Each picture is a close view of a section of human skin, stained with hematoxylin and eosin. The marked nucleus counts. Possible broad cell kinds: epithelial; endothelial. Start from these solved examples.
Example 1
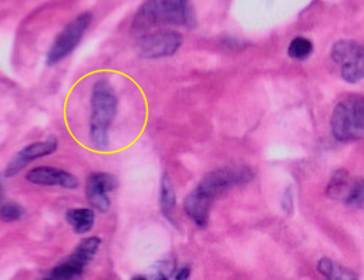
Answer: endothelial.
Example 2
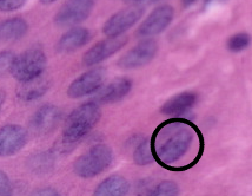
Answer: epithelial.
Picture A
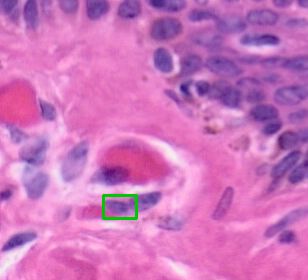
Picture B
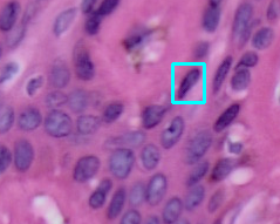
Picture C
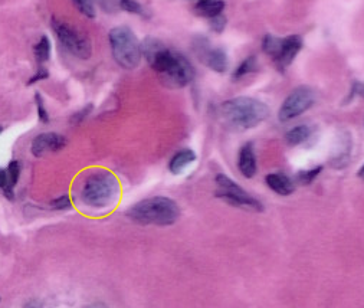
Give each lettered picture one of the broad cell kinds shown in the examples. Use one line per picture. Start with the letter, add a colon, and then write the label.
A: endothelial.
B: epithelial.
C: endothelial.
